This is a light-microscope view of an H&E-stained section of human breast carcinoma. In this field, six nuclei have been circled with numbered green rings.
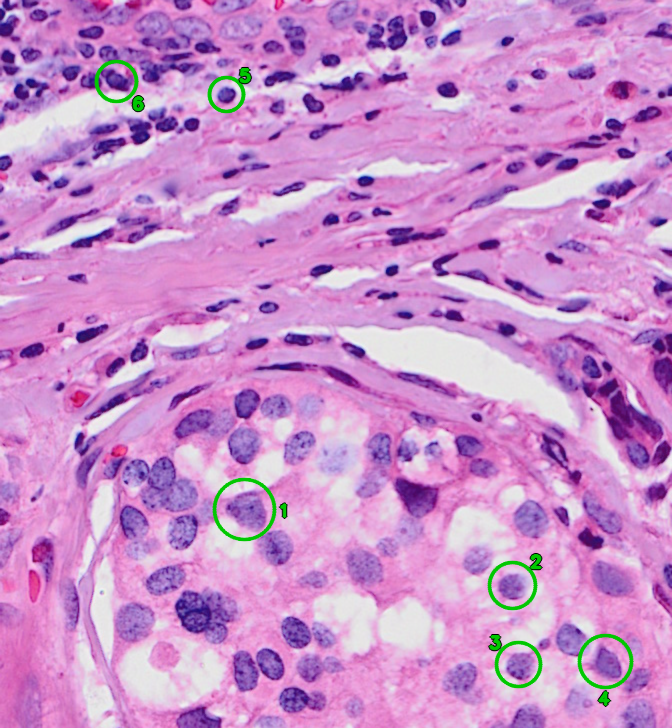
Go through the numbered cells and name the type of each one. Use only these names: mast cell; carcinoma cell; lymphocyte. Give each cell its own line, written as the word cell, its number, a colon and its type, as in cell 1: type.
cell 1: carcinoma cell
cell 2: carcinoma cell
cell 3: carcinoma cell
cell 4: carcinoma cell
cell 5: lymphocyte
cell 6: lymphocyte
